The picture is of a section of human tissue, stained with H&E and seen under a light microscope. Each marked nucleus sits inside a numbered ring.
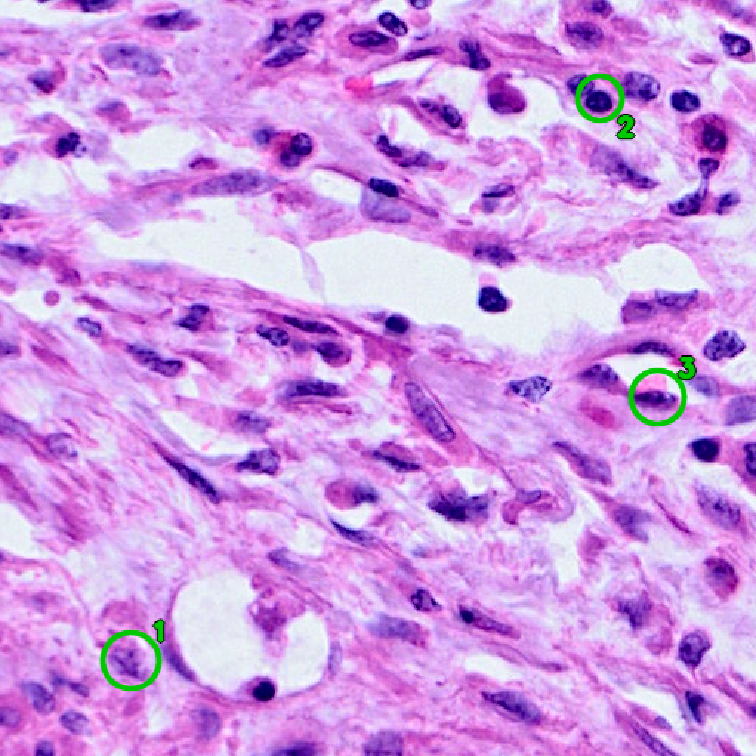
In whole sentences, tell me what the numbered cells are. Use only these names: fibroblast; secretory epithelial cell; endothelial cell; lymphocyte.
Cell 1 is a fibroblast, cell 2 is a lymphocyte and cell 3 is an endothelial cell.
